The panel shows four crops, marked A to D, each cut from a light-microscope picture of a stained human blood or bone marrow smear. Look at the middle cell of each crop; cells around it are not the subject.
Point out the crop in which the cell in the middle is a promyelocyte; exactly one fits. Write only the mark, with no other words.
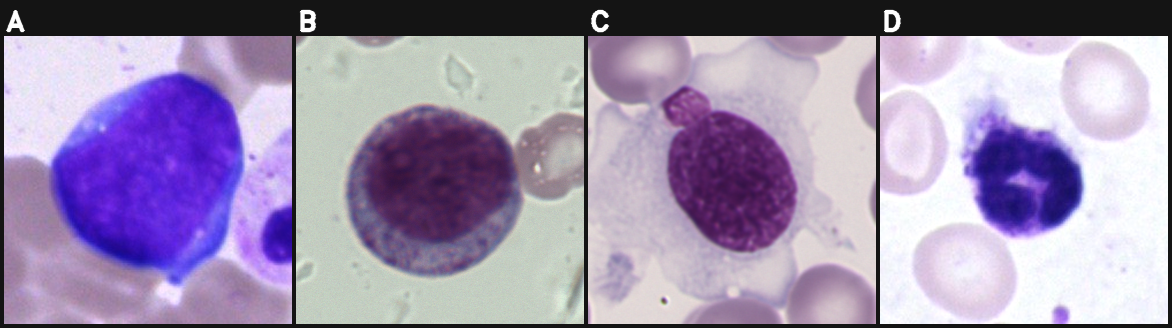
B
